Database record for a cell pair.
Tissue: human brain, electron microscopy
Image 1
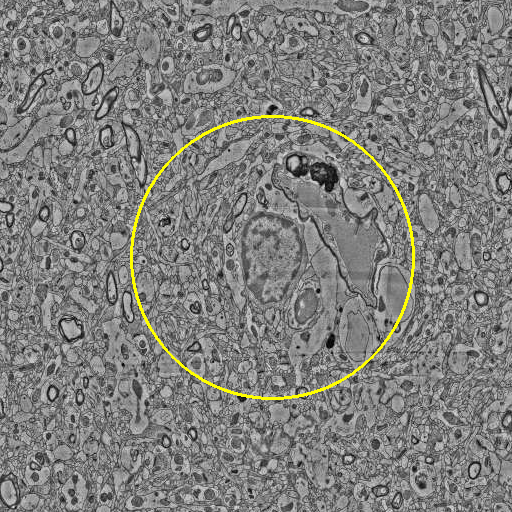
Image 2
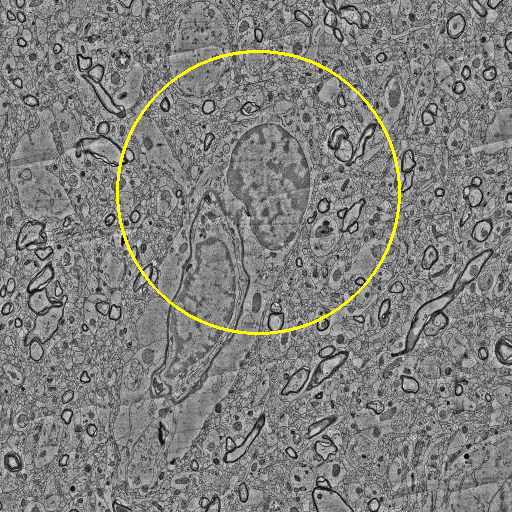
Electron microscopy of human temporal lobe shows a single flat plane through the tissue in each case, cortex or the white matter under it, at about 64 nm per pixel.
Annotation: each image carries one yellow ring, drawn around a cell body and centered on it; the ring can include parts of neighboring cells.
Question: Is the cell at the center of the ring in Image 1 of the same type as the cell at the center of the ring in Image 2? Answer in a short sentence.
No, the cells are of two types.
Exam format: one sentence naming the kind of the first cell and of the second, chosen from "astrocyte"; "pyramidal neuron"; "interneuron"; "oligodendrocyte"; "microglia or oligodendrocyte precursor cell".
The first picture's cell is an oligodendrocyte, and the second picture's cell is a microglial cell or oligodendrocyte precursor cell.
